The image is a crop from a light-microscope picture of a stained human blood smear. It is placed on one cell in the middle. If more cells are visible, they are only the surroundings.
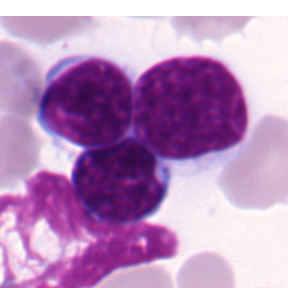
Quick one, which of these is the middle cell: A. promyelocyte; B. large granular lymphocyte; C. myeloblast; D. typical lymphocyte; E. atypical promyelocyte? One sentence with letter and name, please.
The expected answer is option C, the central cell being a myeloblast.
